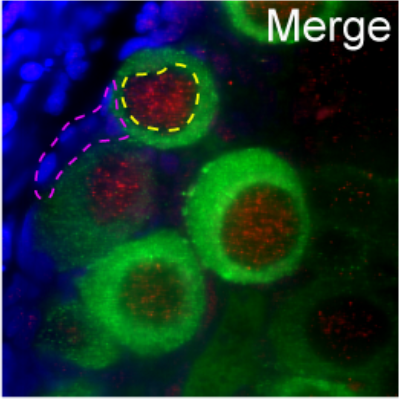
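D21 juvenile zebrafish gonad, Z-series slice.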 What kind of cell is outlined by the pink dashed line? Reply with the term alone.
Surrounding somatic cells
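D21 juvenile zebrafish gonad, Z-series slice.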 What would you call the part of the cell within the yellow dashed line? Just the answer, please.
Nuclei of germ cells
